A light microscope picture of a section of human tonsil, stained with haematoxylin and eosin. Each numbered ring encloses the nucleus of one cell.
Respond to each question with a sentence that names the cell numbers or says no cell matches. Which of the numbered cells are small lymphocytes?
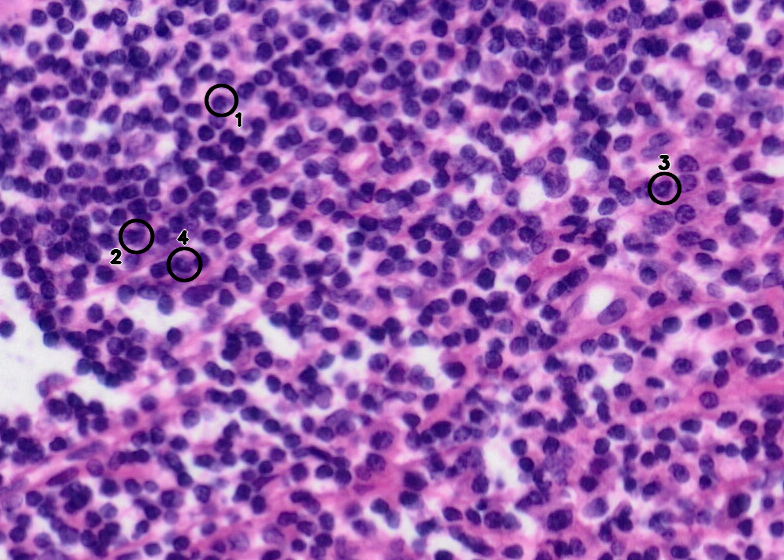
Regarding the numbered cells 1, 2 and 4, these are small lymphocytes.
